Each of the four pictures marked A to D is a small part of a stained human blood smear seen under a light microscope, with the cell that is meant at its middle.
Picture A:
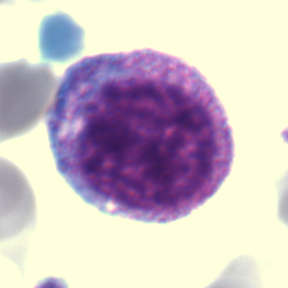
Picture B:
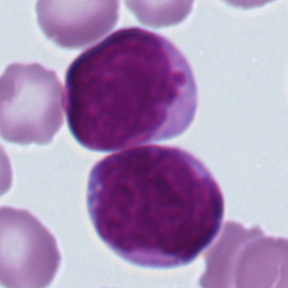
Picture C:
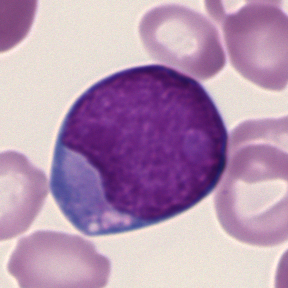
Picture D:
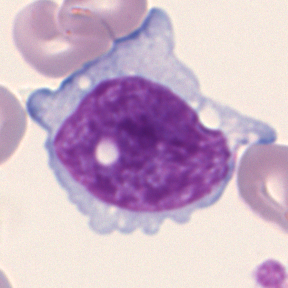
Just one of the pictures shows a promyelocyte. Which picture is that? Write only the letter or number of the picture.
A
